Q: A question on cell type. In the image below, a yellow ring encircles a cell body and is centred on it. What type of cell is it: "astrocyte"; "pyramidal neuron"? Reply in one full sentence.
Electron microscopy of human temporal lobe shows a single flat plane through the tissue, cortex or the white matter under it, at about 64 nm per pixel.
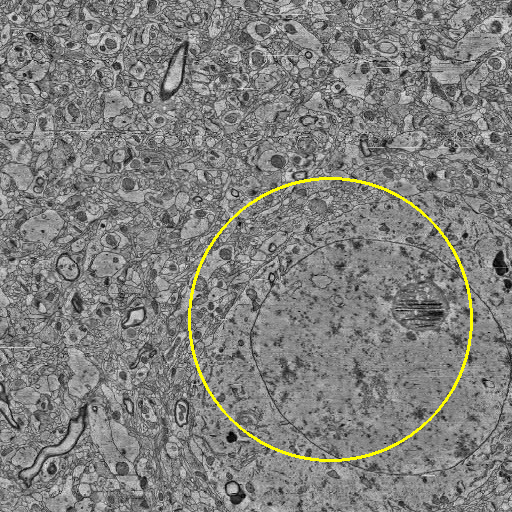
It is a pyramidal neuron whose cell body sits at the centre of the yellow ring in the image.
